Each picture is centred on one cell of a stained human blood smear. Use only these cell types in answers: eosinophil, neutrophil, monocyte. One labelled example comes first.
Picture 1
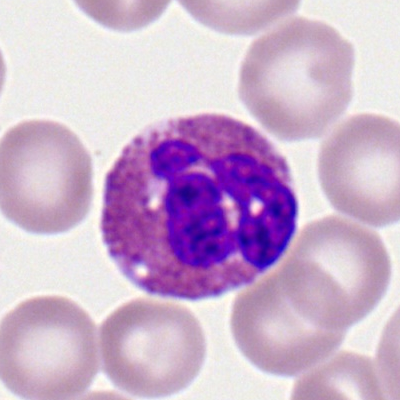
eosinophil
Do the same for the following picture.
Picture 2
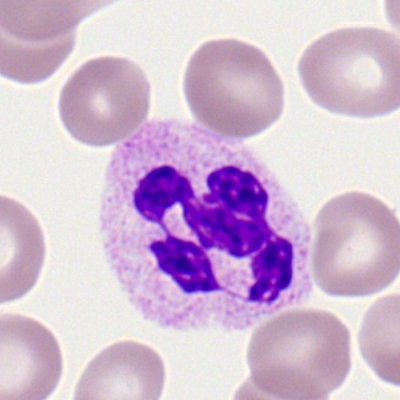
neutrophil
